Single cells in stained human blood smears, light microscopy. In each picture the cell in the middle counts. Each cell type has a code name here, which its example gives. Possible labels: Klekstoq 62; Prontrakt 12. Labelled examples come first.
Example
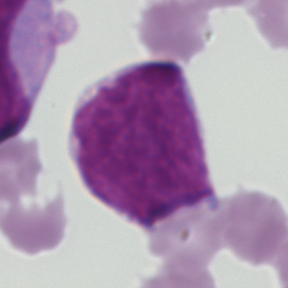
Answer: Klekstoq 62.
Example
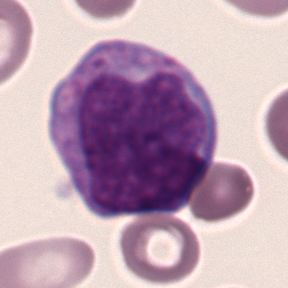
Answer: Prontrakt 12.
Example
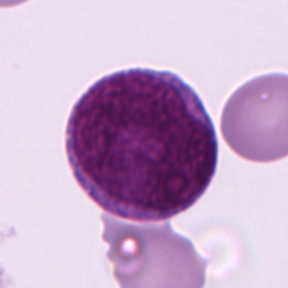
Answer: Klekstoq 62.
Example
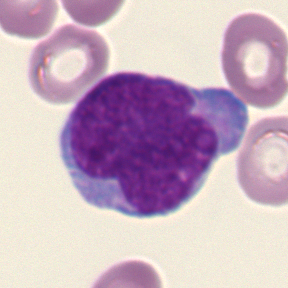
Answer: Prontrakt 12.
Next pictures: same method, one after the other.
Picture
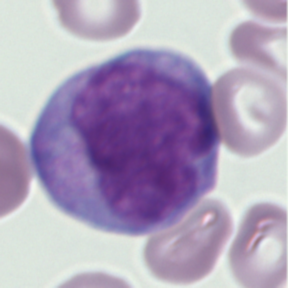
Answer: Prontrakt 12.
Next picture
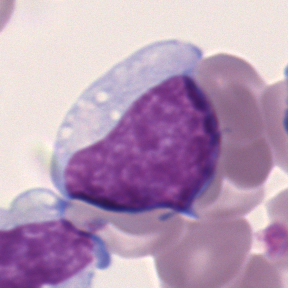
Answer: Klekstoq 62.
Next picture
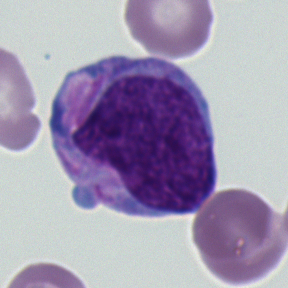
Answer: Prontrakt 12.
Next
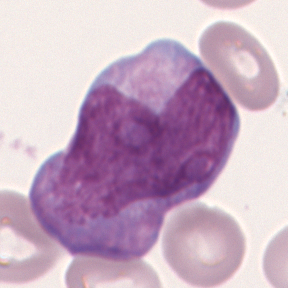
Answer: Prontrakt 12.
